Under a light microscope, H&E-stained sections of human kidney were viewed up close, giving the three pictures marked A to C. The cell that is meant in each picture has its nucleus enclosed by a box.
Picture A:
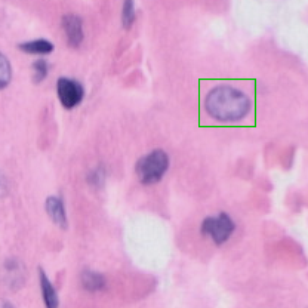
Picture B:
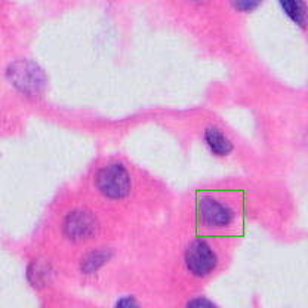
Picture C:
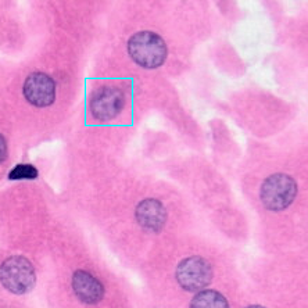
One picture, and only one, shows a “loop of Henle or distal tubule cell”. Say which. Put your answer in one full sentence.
It is picture B that shows the “loop of Henle or distal tubule cell”.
